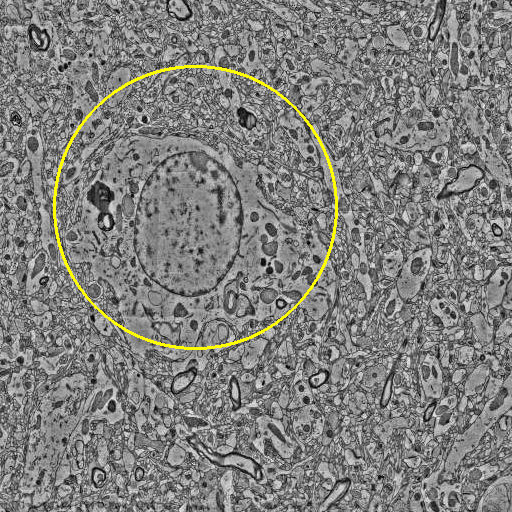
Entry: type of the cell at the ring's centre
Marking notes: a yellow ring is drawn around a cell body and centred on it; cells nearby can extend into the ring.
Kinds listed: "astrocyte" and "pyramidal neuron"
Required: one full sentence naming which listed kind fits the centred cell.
My entry names an astrocyte as the cell whose body the yellow ring centres on.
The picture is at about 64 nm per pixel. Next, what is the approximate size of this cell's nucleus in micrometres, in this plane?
About 9 by 7 micrometres in this plane.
